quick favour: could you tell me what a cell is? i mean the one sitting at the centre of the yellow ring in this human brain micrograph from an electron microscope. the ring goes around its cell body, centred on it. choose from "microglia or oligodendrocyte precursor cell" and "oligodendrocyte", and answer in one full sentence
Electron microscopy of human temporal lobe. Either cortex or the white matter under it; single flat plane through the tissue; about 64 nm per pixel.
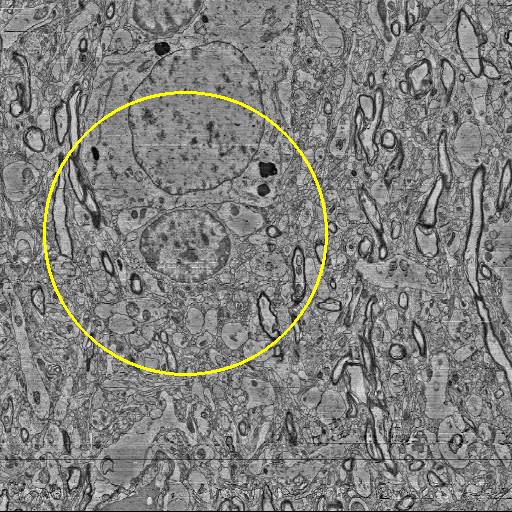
That's an oligodendrocyte, the cell sitting at the centre of the yellow ring.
